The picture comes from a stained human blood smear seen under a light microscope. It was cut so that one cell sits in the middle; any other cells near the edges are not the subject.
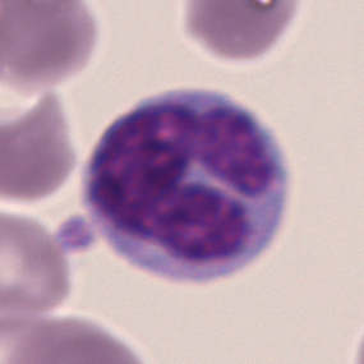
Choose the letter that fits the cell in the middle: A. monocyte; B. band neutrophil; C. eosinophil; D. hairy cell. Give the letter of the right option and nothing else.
A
